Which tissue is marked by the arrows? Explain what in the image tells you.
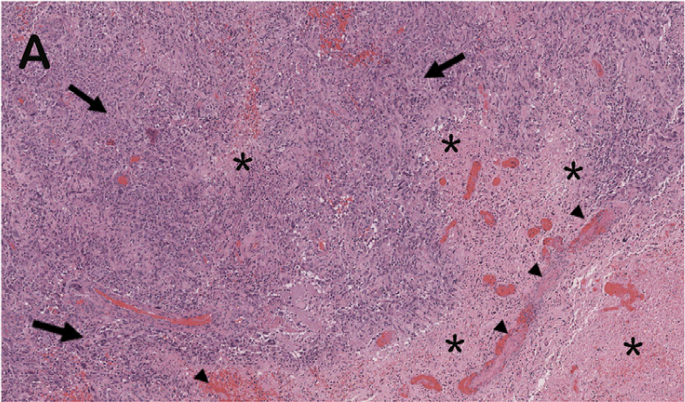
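Purple zones crowded with nuclei. The answer: dense cellular areas.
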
